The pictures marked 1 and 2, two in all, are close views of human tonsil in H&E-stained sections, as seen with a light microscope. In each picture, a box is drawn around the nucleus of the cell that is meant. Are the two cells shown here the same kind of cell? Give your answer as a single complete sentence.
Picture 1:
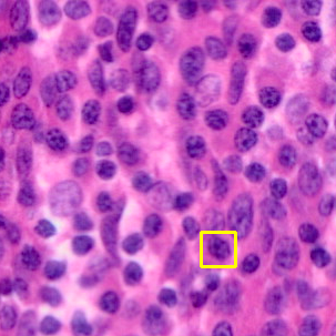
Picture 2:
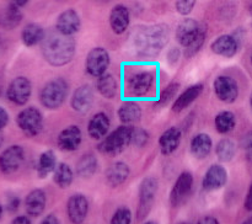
Yes; the cells in both pictures are plasma cells.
